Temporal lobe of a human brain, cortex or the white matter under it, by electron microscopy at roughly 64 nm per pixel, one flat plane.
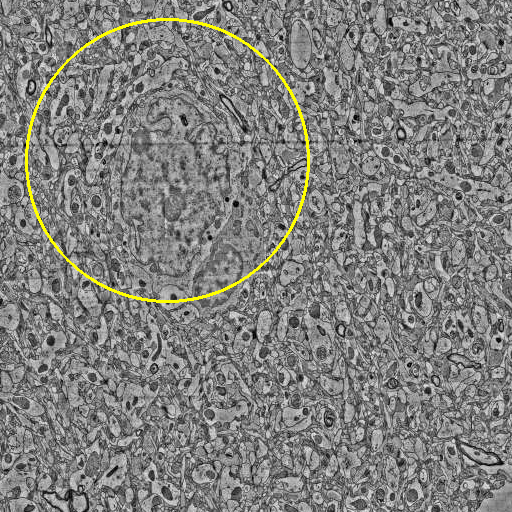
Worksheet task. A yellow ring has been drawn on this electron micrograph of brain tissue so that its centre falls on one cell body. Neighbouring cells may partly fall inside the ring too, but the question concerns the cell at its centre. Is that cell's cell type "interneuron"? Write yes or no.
yes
